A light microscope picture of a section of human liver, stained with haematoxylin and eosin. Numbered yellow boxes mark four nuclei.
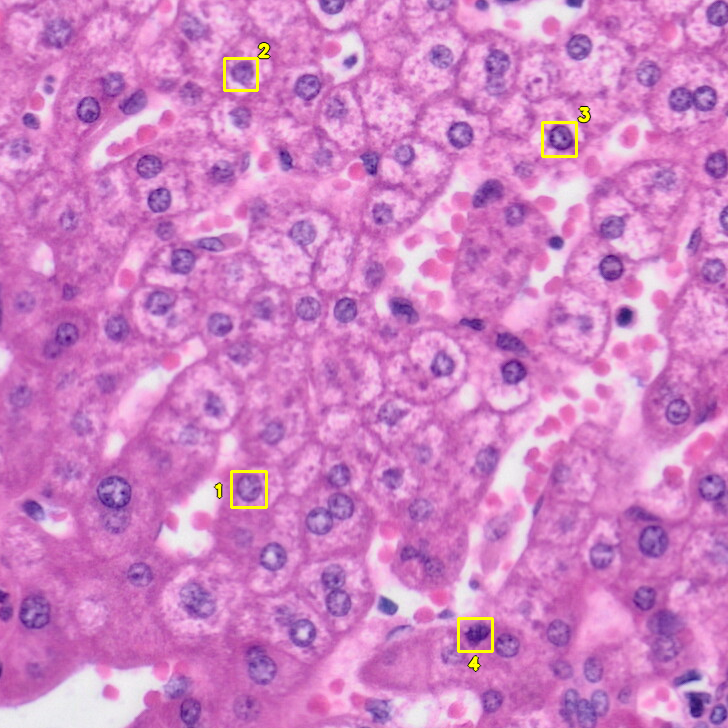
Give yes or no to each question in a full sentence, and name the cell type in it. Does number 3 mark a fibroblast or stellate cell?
No, as for cell 3, it is a hepatocyte and not a fibroblast or stellate cell.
